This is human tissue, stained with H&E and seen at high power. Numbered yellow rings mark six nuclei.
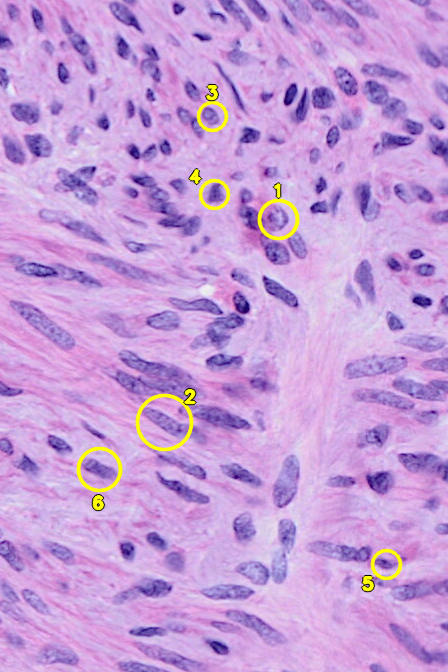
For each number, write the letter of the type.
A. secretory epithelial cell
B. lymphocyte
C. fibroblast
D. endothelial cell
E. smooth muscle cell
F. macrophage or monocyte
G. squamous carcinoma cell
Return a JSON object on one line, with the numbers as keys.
{"1": "D", "2": "E", "3": "E", "4": "C", "5": "E", "6": "E"}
